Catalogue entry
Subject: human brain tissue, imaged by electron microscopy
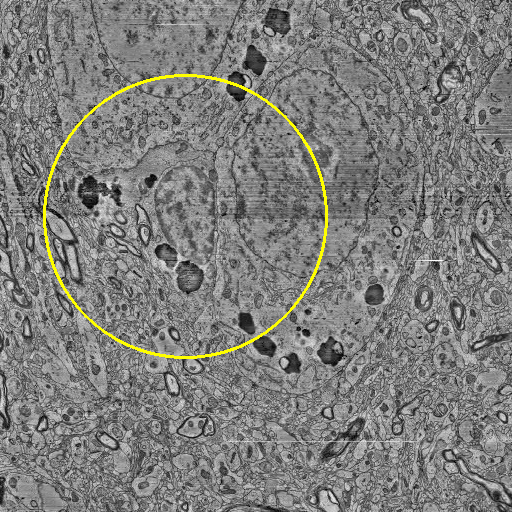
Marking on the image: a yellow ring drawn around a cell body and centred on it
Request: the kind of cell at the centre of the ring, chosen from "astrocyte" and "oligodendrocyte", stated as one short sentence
The ring has an oligodendrocyte at its centre.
